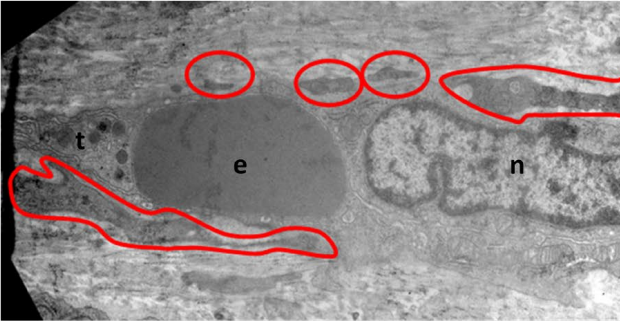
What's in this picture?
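A large endothelial nucleus with irregular, folded outline and patchy chromatin lines the vessel. Outside the endothelium, long thin flat cell processes run along the wall above and below the lumen, together with several small oval cytoplasmic profiles in a row, which are cross-sections of the same cell's fine processes. These wrapping processes belong to a pericyte closely attached to the vessel.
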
